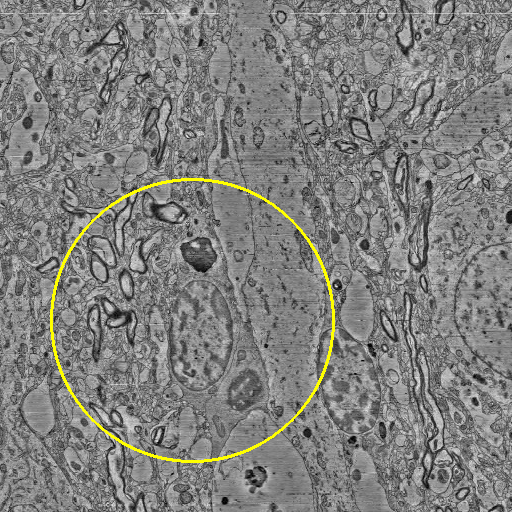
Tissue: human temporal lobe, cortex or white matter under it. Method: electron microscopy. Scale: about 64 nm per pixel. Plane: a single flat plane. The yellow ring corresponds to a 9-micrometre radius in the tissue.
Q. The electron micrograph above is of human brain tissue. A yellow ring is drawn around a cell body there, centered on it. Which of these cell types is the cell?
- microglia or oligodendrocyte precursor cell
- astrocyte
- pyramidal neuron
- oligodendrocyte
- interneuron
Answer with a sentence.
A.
The cell under the ring's center is an oligodendrocyte.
